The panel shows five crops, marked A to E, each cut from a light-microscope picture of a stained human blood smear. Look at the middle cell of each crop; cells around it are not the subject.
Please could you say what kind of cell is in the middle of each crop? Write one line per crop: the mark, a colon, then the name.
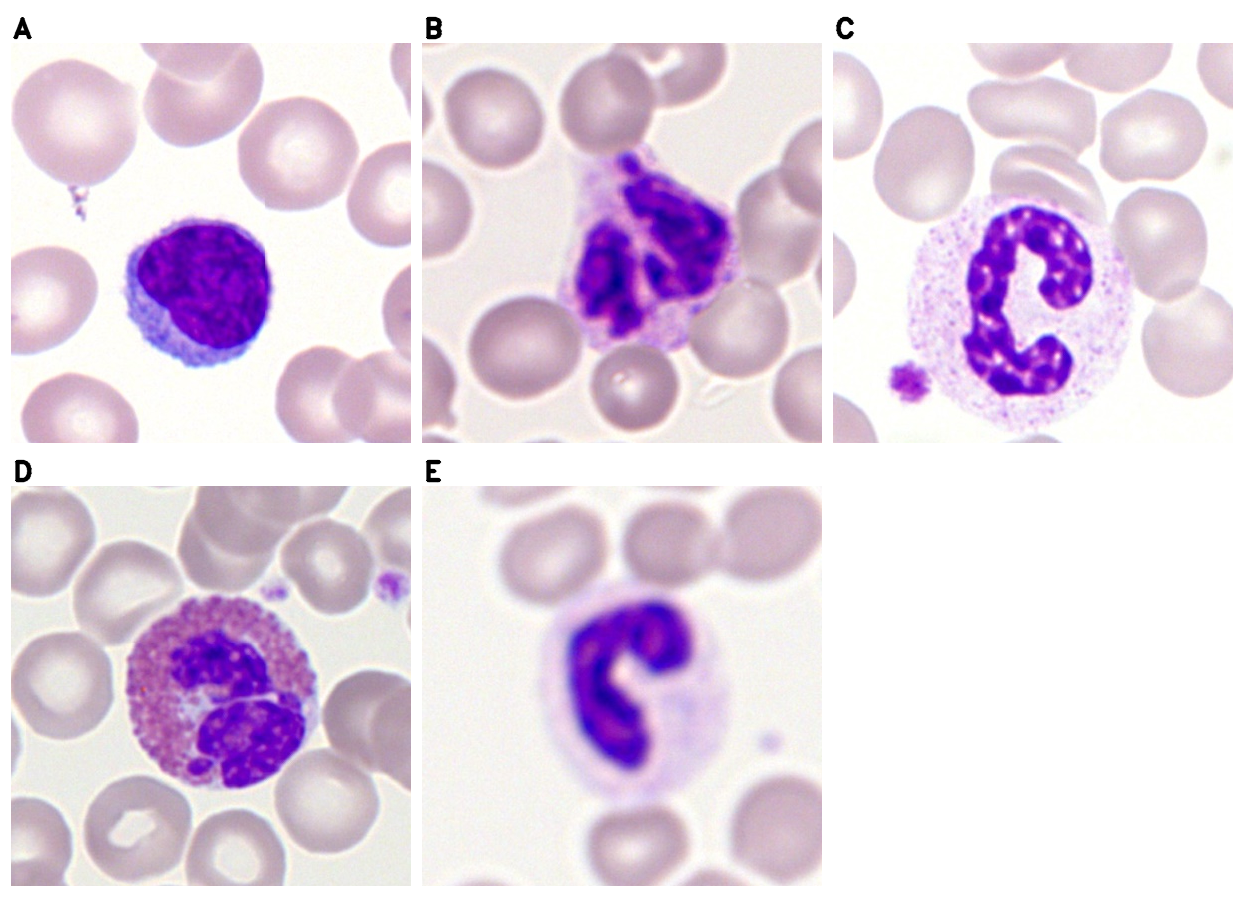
A: lymphocyte
B: basophil
C: segmented neutrophil
D: eosinophil
E: band neutrophil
